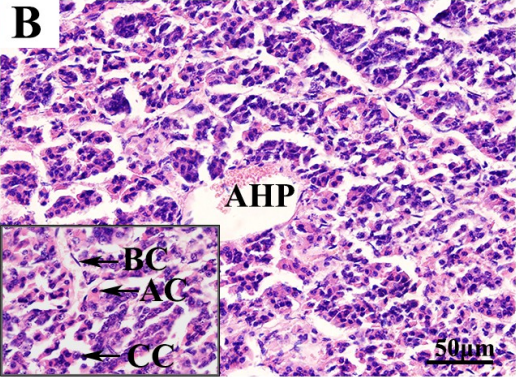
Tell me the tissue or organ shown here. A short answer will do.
Pituitary.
